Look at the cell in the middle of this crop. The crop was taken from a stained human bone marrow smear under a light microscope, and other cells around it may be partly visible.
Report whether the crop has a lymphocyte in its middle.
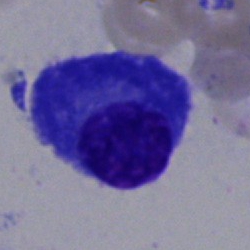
no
